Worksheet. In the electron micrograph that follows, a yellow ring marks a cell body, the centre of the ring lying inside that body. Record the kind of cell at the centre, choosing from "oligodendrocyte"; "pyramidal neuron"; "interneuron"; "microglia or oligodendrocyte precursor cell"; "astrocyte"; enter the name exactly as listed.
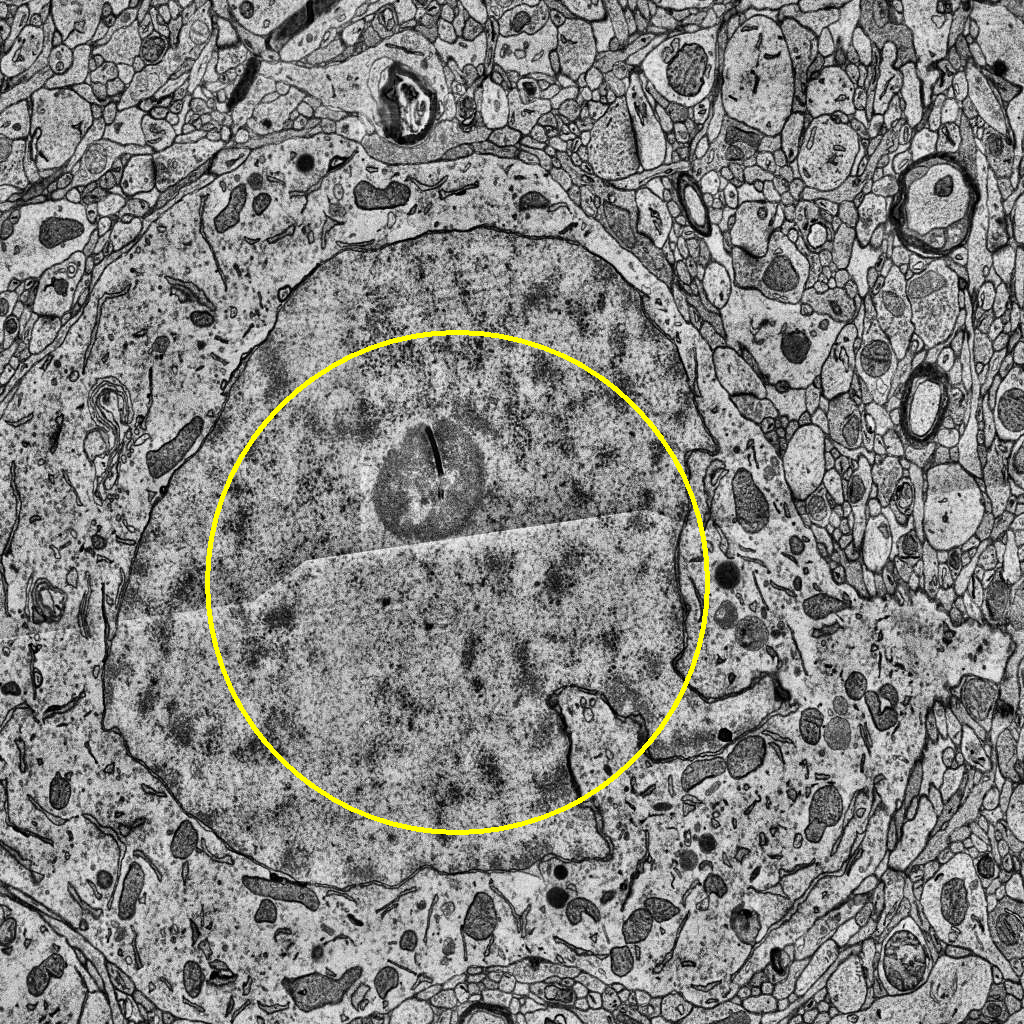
interneuron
